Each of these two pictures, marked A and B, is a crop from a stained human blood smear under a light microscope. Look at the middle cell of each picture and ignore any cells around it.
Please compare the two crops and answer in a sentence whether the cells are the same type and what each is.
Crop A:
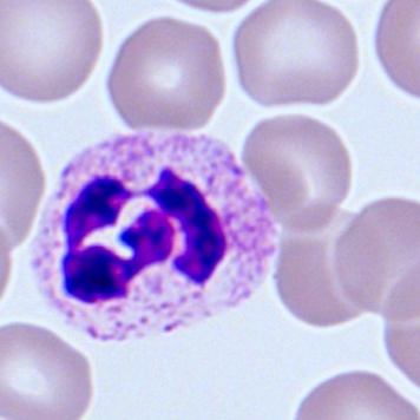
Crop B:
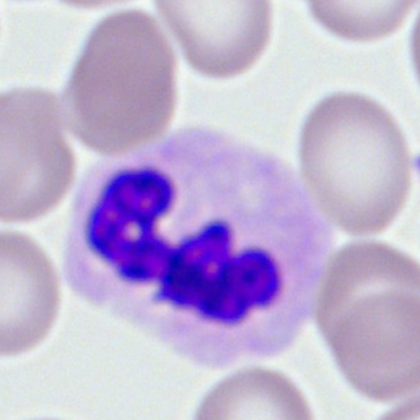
Yes, both crops show segmented neutrophils, each crop centred on one of them.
